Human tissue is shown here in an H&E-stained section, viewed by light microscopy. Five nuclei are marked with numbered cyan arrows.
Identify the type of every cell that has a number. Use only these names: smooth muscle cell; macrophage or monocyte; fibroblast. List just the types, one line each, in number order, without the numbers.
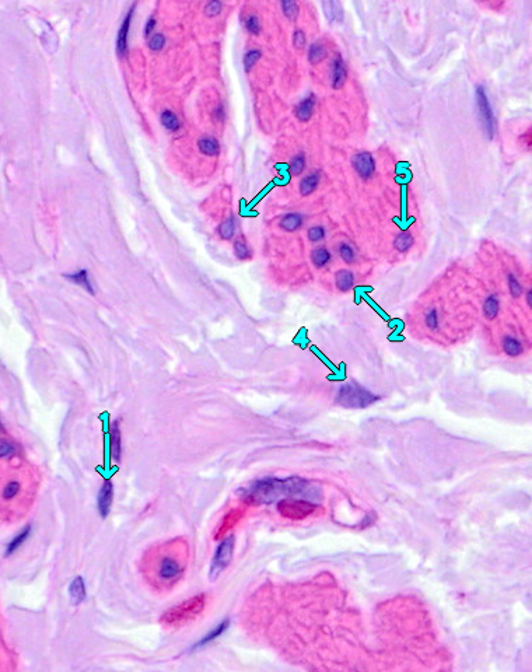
fibroblast
smooth muscle cell
smooth muscle cell
fibroblast
smooth muscle cell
